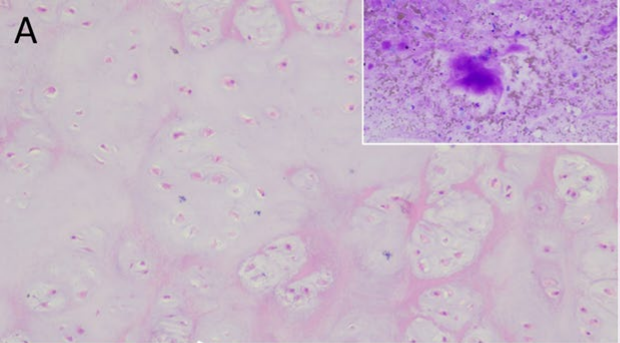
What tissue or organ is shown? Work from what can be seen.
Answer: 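Abundant smooth, glassy, pale matrix without fibres. Cells lie in lacunae spread through the matrix.
Hence: mature hyaline cartilage.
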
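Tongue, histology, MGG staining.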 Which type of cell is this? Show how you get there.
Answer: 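Chondrocytes. Rounded cells sit in clear spaces (lacunae) within a pale matrix. Cells lie in clusters of several cells each.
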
